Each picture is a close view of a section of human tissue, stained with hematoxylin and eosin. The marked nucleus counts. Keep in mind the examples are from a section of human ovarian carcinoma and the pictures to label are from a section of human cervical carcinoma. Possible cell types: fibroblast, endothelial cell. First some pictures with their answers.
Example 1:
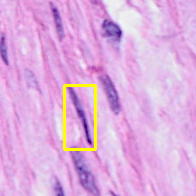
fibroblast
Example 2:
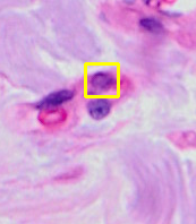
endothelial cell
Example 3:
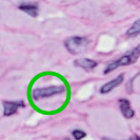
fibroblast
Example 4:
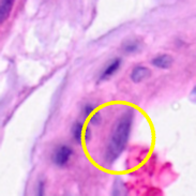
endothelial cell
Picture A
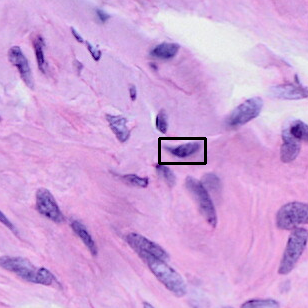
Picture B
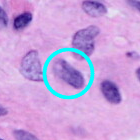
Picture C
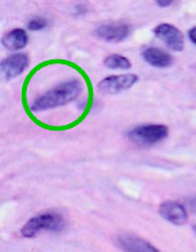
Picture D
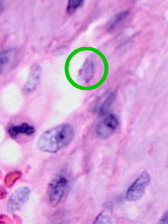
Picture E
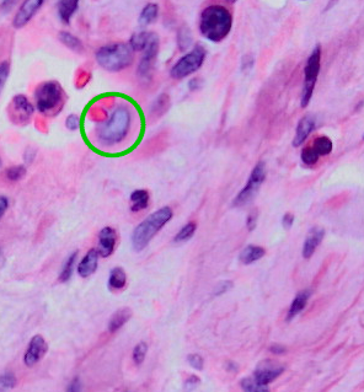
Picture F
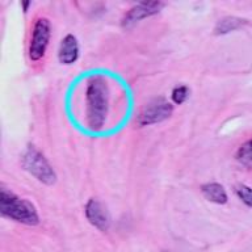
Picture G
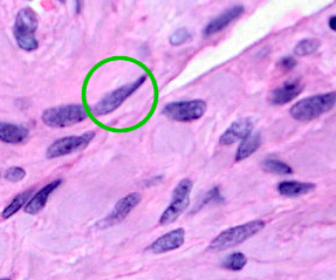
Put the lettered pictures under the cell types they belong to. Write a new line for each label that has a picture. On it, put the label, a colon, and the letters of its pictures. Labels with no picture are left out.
fibroblast: A, B, C, F, G
endothelial cell: D, E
